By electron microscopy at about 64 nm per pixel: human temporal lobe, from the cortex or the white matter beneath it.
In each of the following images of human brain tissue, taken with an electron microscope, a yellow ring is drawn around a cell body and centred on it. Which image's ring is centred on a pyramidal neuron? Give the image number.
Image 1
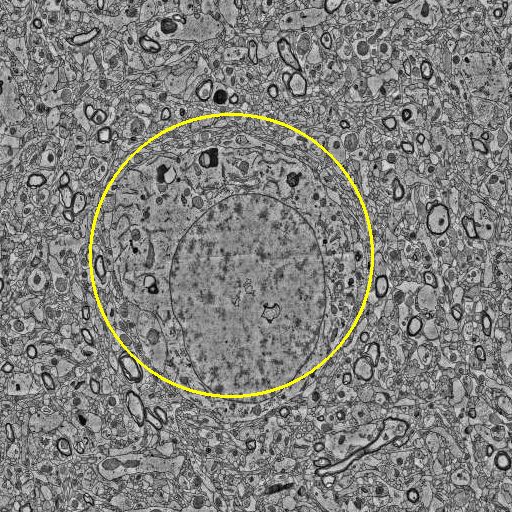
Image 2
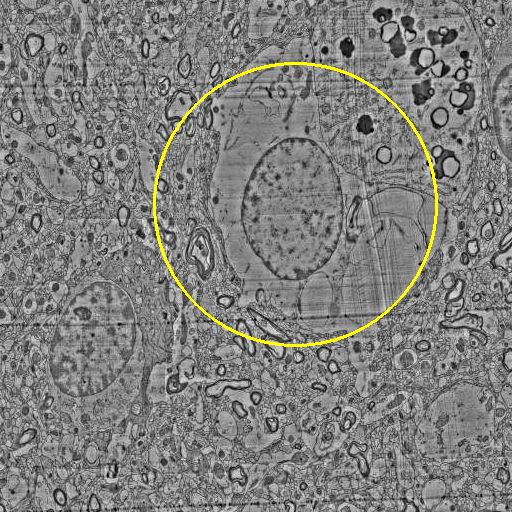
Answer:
1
